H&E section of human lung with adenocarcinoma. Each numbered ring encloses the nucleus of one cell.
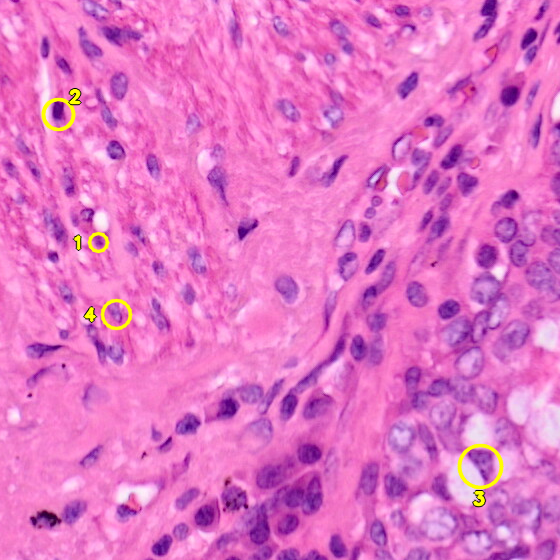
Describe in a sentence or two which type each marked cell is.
Cells 1, 2 and 4 are smooth muscle cells or pericytes. Cell 3 is a ciliated epithelial cell.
